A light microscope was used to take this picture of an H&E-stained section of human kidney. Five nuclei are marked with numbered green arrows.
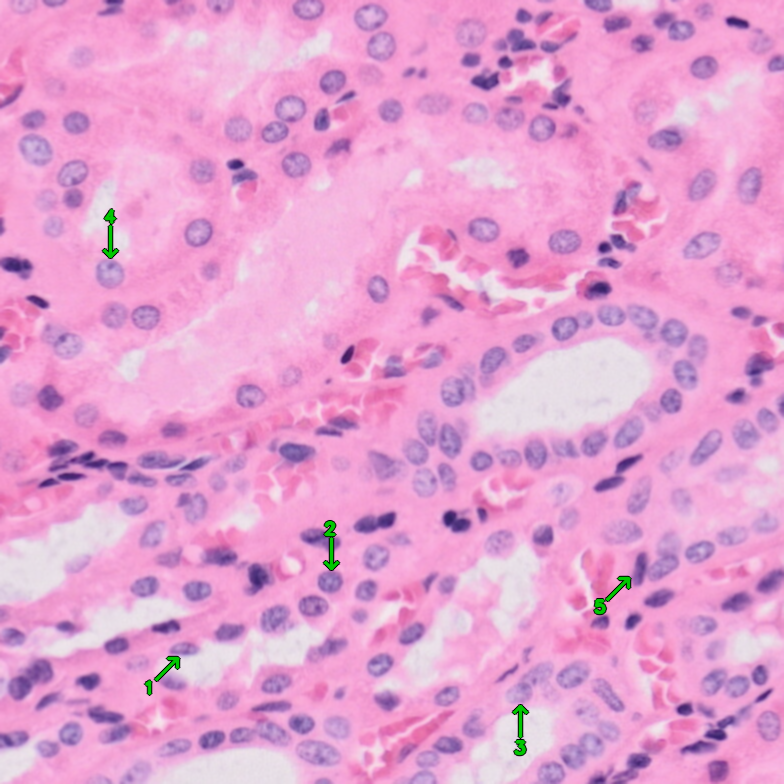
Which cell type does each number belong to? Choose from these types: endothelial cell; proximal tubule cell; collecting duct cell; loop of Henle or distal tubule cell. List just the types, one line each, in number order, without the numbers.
loop of Henle or distal tubule cell
loop of Henle or distal tubule cell
collecting duct cell
proximal tubule cell
collecting duct cell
